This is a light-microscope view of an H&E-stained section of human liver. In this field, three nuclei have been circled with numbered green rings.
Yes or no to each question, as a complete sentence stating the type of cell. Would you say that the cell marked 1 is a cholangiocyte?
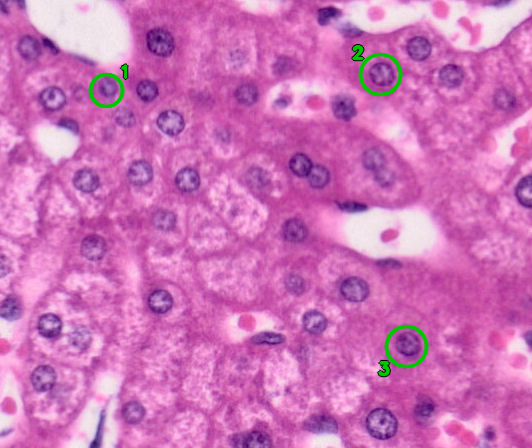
Yes, the cell with the number 1 is a cholangiocyte.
